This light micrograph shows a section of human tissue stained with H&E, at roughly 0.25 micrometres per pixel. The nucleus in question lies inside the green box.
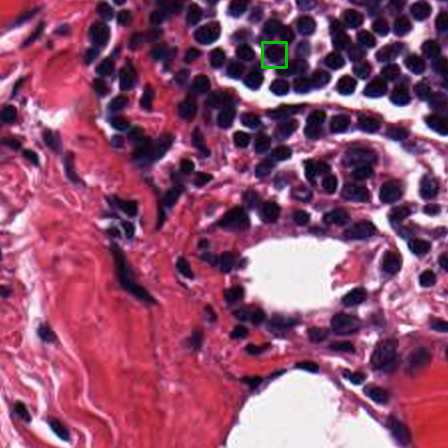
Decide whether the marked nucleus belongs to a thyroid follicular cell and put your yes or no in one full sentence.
No, that the marked nucleus belongs to a thyroid follicular cell does not hold; it belongs to a supporting cell.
